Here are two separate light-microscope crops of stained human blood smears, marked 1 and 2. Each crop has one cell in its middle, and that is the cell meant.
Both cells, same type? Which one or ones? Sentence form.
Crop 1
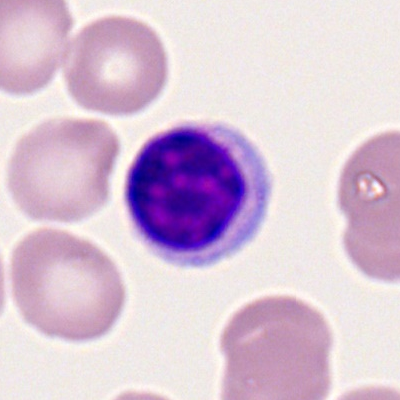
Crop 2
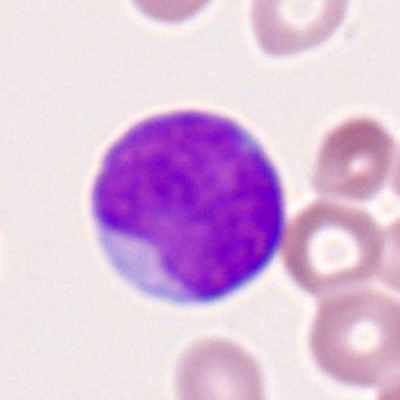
No, at the centre of crop 1 is a lymphocyte, and at the centre of crop 2 is a myeloblast.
